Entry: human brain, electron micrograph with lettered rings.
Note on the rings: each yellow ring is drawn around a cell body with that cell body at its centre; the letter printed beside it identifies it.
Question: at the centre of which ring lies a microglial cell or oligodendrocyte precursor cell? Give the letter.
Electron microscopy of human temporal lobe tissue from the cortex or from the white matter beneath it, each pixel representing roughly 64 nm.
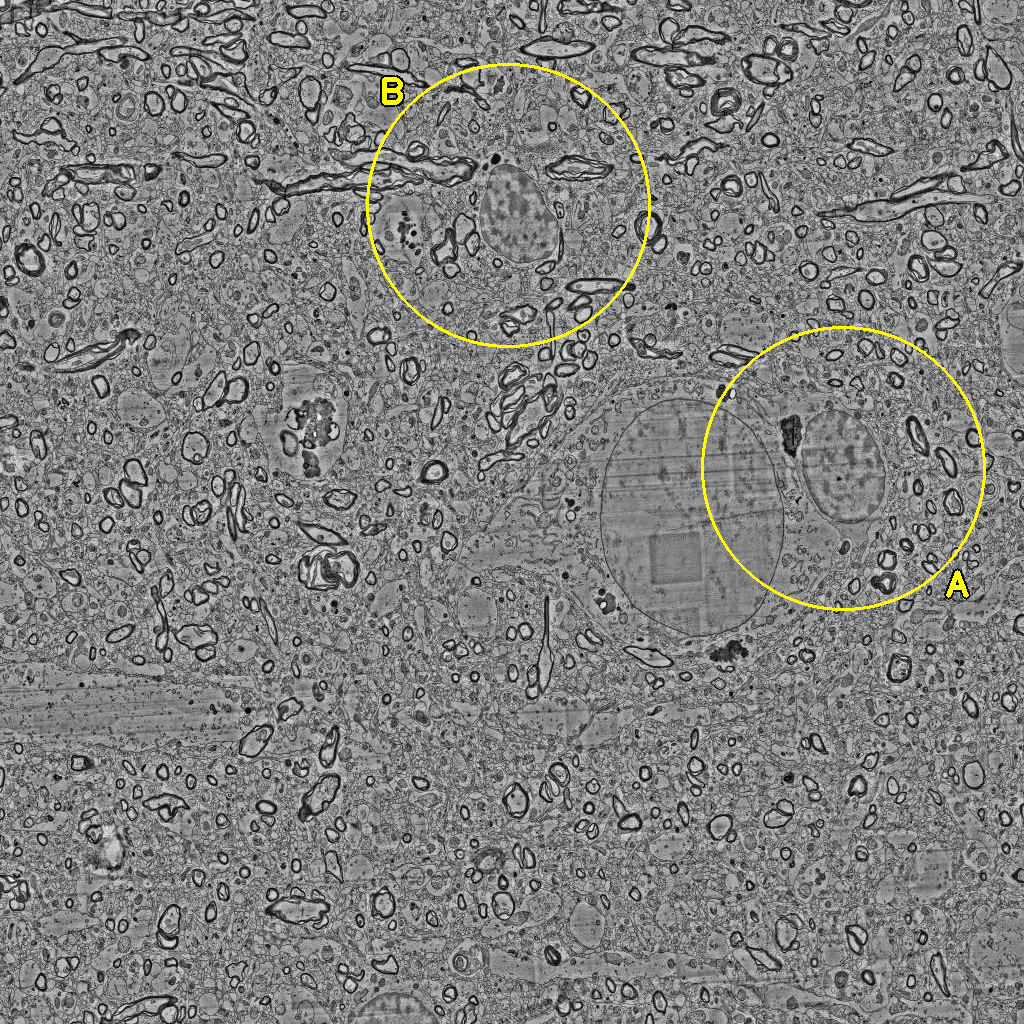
B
